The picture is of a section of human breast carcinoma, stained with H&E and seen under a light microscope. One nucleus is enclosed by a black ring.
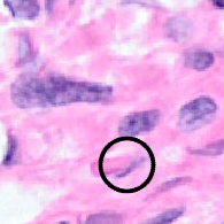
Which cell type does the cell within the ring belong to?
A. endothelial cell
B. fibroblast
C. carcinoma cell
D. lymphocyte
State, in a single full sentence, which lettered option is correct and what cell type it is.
As stated in option A, the cell within the ring is an endothelial cell.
